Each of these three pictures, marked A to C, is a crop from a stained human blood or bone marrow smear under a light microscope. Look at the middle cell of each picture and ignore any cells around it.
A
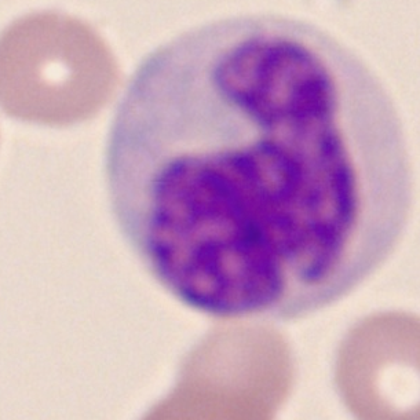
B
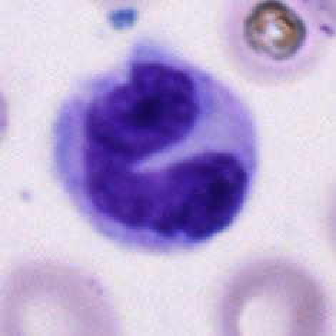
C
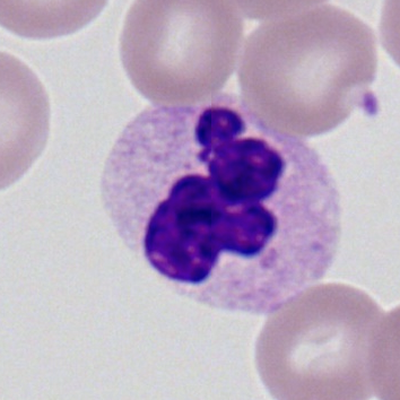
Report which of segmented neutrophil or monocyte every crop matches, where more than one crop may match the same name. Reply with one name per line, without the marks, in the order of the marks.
monocyte
monocyte
segmented neutrophil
